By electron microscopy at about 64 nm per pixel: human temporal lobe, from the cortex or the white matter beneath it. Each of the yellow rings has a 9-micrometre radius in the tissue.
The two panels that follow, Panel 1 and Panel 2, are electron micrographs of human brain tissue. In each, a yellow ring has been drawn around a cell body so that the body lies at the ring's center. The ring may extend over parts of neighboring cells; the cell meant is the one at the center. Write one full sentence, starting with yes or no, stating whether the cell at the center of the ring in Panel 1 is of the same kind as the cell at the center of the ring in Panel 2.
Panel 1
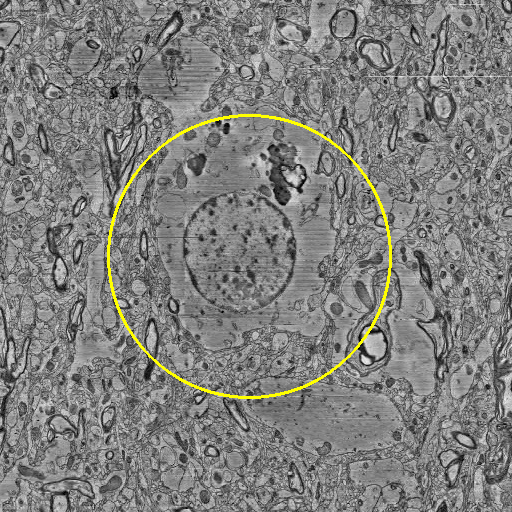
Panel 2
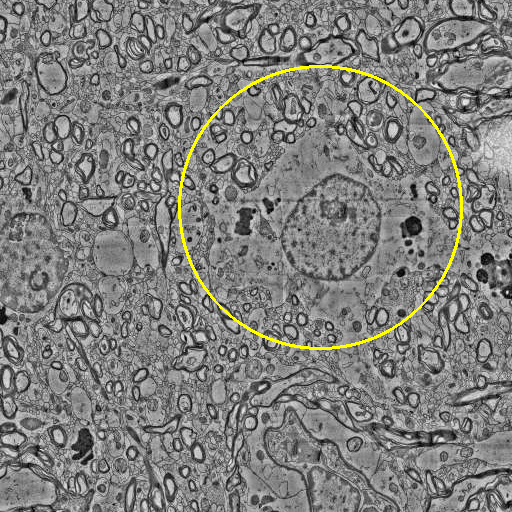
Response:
Yes, the cells in both panels are of the same kind.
